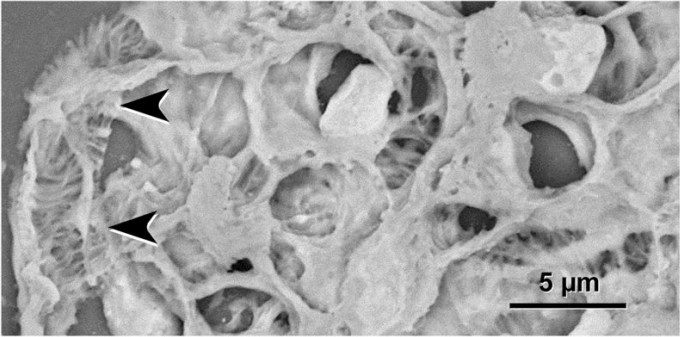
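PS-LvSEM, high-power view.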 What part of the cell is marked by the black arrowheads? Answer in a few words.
processes of podocytes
